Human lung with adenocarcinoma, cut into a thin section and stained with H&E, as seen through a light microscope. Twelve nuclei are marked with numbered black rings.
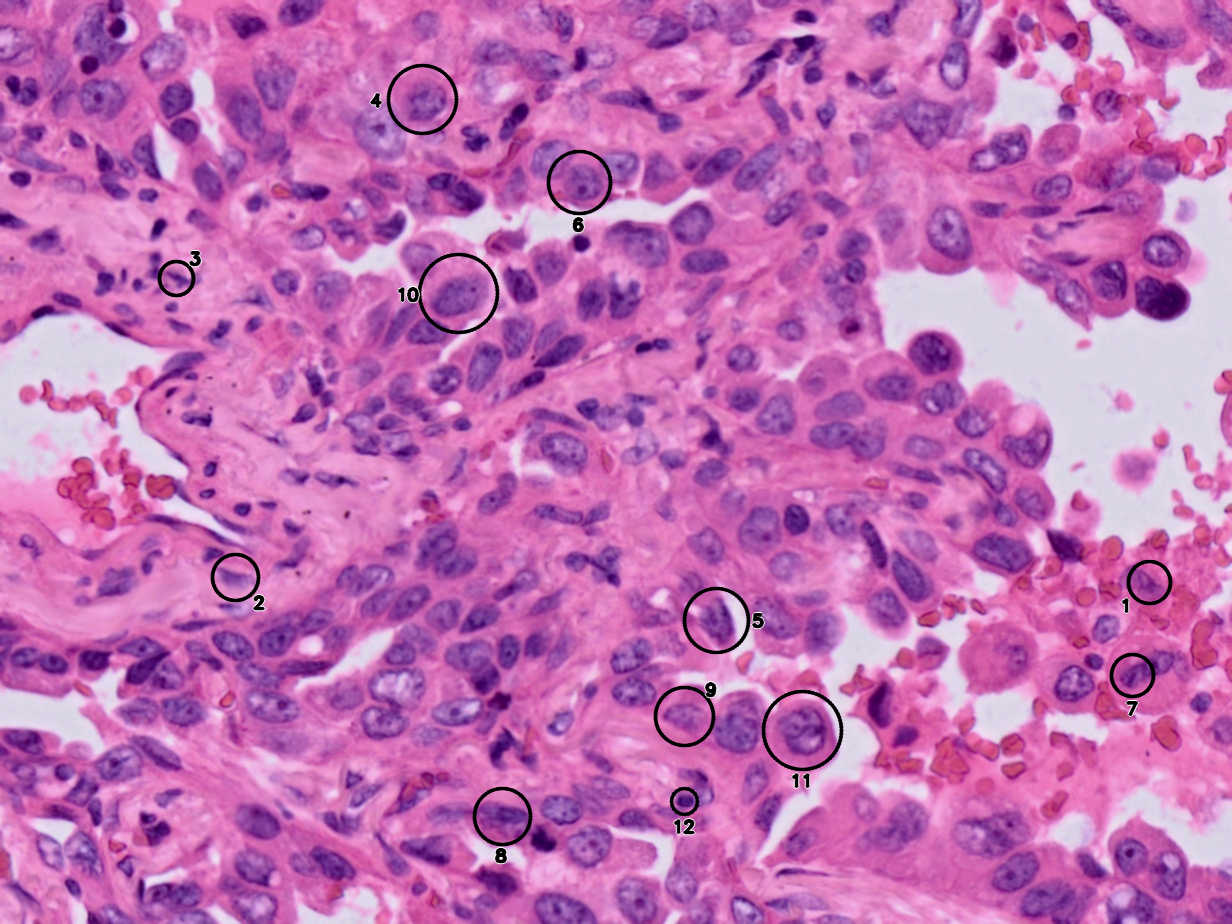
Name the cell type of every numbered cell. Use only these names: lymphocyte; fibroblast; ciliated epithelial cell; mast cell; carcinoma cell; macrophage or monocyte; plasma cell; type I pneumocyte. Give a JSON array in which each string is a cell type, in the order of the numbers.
["macrophage or monocyte", "fibroblast", "fibroblast", "carcinoma cell", "carcinoma cell", "carcinoma cell", "macrophage or monocyte", "carcinoma cell", "carcinoma cell", "carcinoma cell", "carcinoma cell", "lymphocyte"]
